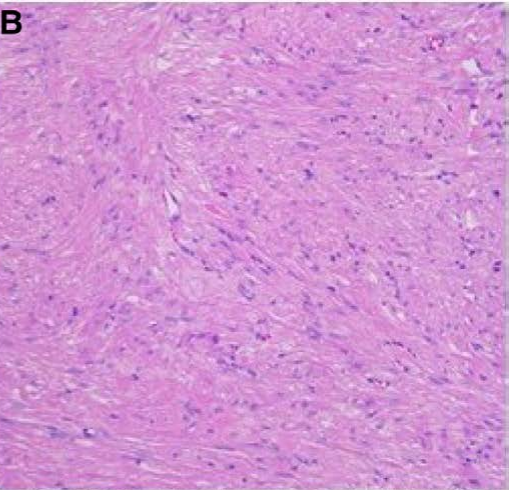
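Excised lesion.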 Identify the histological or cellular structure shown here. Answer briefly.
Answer: Fascicles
